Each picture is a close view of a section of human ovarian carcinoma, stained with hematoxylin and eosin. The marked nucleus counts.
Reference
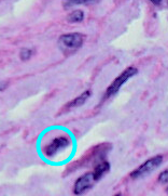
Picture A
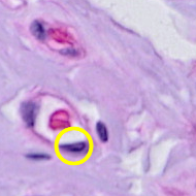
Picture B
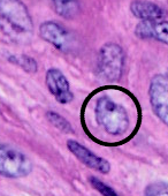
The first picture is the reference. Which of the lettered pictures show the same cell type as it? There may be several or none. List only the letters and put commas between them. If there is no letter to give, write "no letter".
B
